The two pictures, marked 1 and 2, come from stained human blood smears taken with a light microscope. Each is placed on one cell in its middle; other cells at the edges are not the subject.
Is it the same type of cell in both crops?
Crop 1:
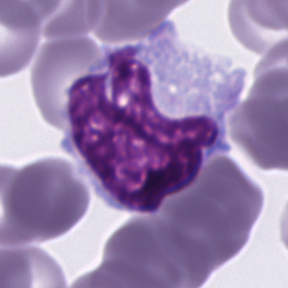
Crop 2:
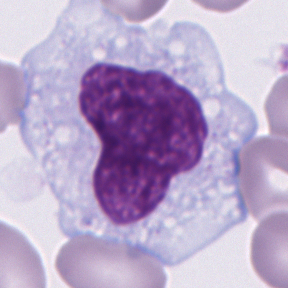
yes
